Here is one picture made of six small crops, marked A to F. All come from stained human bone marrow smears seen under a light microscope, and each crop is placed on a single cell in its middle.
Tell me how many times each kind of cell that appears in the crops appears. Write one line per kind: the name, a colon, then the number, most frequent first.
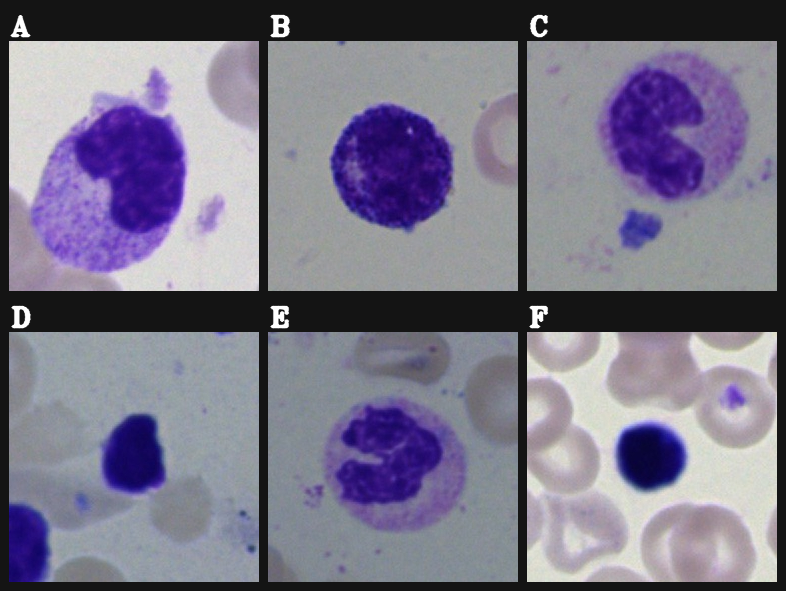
band neutrophil: 3
lymphocyte: 2
myelocyte: 1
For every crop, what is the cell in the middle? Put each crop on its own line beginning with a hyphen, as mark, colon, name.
- A: band neutrophil
- B: myelocyte
- C: band neutrophil
- D: lymphocyte
- E: band neutrophil
- F: lymphocyte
